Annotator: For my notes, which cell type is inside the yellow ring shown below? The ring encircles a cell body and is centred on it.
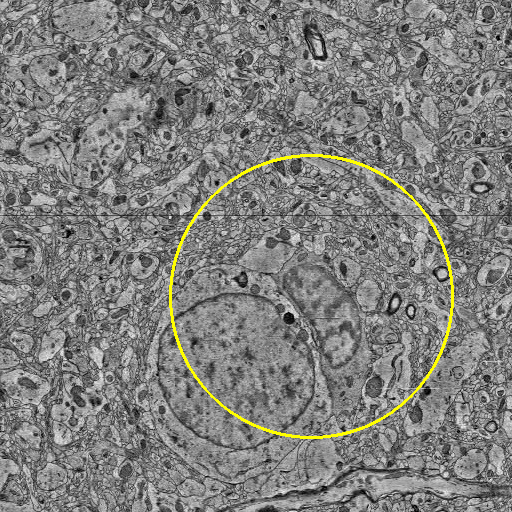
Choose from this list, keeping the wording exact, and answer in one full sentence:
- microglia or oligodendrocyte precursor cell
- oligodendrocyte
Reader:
At the centre of the yellow ring there is an oligodendrocyte, as shown in the picture.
